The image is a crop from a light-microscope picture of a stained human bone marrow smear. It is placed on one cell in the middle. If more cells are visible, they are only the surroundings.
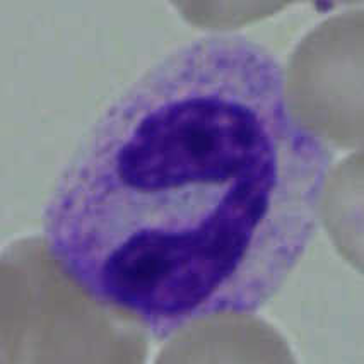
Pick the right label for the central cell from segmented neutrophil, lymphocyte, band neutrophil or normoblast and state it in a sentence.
Within this crop, a band neutrophil occupies the central position.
